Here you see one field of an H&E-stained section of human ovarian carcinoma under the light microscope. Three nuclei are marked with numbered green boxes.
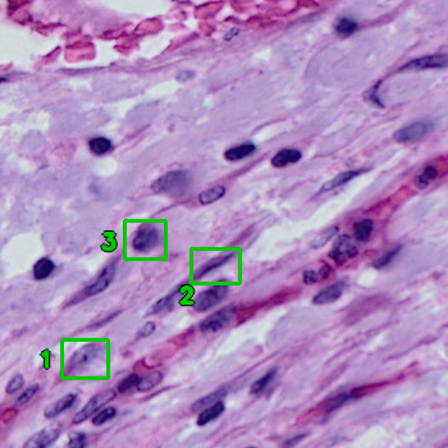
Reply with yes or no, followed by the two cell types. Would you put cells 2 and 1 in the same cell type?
Yes, as for cells 2 and 1, both are fibroblasts.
